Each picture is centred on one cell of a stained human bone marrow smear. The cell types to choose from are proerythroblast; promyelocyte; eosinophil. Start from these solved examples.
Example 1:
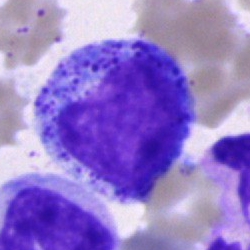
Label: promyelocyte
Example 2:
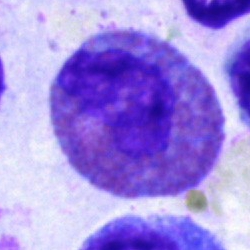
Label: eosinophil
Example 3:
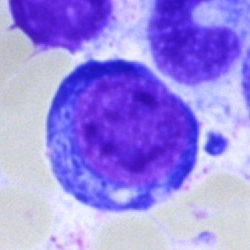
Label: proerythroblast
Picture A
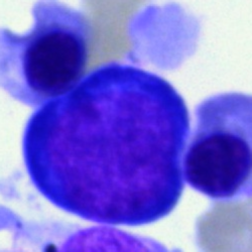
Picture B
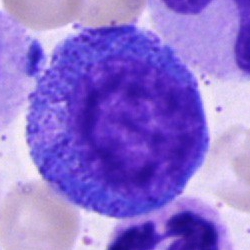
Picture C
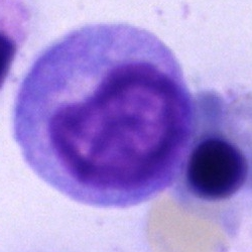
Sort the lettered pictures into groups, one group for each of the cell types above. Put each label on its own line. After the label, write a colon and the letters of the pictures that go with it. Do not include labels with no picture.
proerythroblast: A
promyelocyte: B, C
